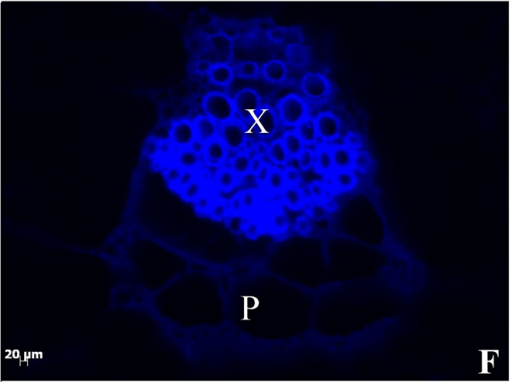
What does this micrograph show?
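A compact cluster of many small, round, thick-walled cells glows bright blue, their walls forming rings around dark empty centres of varied sizes, with the larger openings towards the top and smaller, densely packed ones below. Beneath this cluster lie larger, thin-walled cells whose walls give only a faint blue outline, and the surrounding tissue is nearly dark. The brightly glowing, ring-walled cells are the xylem of a vascular bundle, while the faint, thin-walled cells beneath belong to the phloem.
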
